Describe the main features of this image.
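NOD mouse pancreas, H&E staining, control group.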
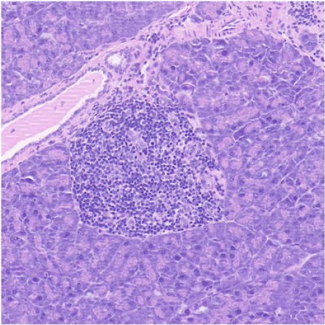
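Pancreatic tissue with an islet heavily infiltrated by leukocytes. The islet is a rounded, well-demarcated area crowded with small, round, darkly basophilic nuclei with scant cytoplasm, giving it a much darker appearance than the surrounding tissue; few pale endocrine cells remain visible within it. Around the islet, exocrine acini form the bulk of the field, with pyramidal cells whose cytoplasm stains purple. At the upper left a vessel with pink-filled lumen runs obliquely, flanked by connective tissue and a smaller cluster of dark nuclei near a duct or vessel.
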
